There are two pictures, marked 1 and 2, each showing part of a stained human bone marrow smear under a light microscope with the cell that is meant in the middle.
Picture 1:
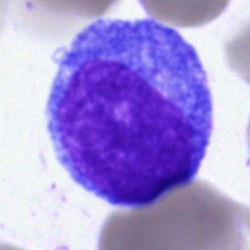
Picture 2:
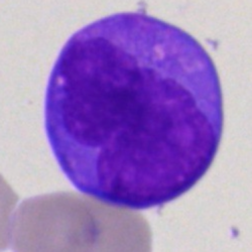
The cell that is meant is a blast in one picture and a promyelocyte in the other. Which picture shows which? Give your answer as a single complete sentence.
Picture 2 shows a blast, while picture 1 shows a promyelocyte.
